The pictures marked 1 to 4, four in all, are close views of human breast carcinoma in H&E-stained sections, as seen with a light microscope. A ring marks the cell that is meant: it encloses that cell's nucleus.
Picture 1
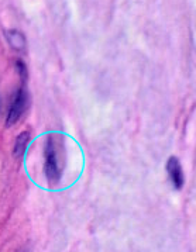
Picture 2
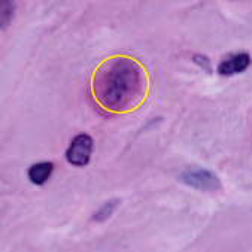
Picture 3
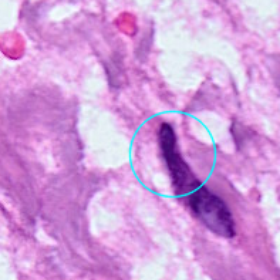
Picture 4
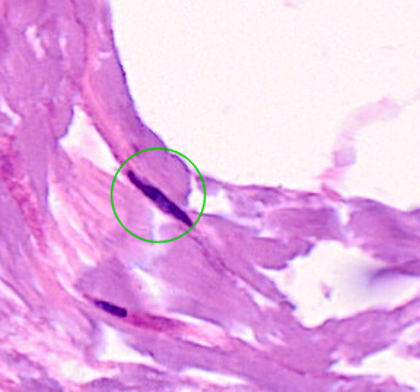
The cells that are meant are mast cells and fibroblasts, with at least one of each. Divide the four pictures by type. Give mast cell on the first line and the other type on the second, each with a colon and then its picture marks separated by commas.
mast cell: 2
fibroblast: 1, 3, 4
